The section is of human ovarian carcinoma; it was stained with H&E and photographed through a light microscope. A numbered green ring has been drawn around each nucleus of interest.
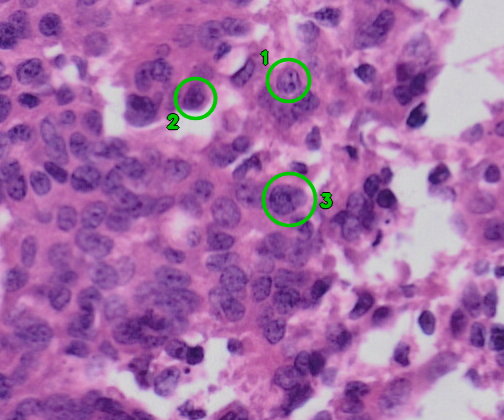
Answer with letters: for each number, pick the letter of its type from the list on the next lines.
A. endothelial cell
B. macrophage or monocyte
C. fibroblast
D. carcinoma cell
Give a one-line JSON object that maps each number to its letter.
{"1": "B", "2": "D", "3": "D"}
